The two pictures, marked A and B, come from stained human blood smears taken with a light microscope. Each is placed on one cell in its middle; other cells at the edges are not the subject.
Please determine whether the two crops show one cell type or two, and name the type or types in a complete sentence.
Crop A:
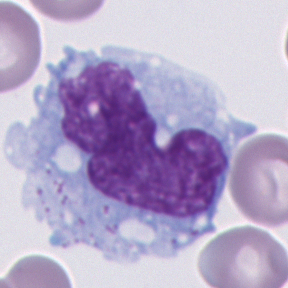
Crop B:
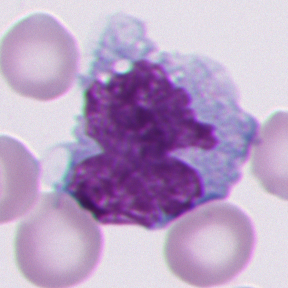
Yes, both crops feature monocytes at the centre.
